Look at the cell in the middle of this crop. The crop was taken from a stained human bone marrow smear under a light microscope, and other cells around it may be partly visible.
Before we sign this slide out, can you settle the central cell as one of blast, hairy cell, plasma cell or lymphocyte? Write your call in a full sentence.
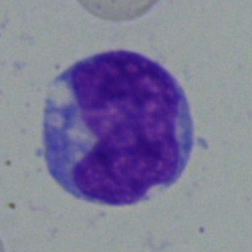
The central cell shown in this smear crop is a blast.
